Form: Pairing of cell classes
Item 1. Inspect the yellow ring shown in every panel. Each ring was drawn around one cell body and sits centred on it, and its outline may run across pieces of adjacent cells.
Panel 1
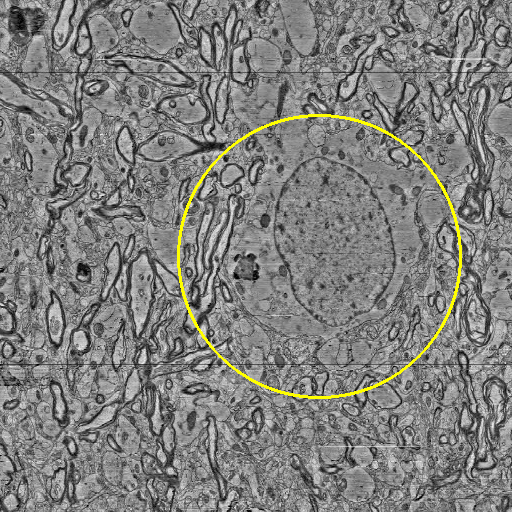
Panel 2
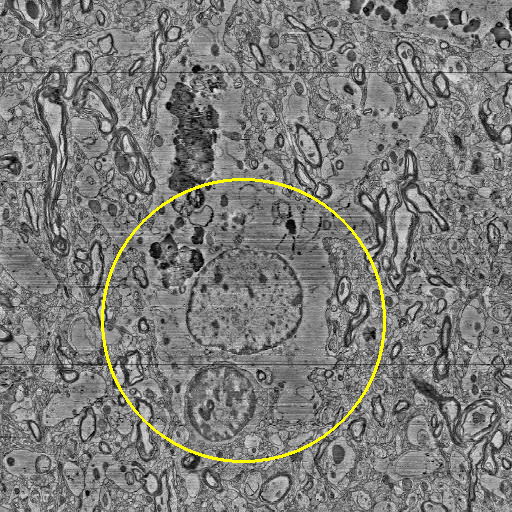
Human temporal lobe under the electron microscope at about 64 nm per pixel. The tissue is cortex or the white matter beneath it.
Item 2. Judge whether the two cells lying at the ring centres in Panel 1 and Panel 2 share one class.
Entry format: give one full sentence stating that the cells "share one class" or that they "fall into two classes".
The cells at the ring centres in Panel 1 and Panel 2 share one class.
